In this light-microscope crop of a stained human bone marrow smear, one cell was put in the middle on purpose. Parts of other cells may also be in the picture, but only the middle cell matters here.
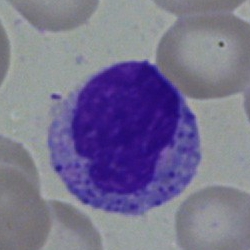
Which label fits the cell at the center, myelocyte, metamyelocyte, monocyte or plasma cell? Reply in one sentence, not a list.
Where the crop is centred, there is a myelocyte.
